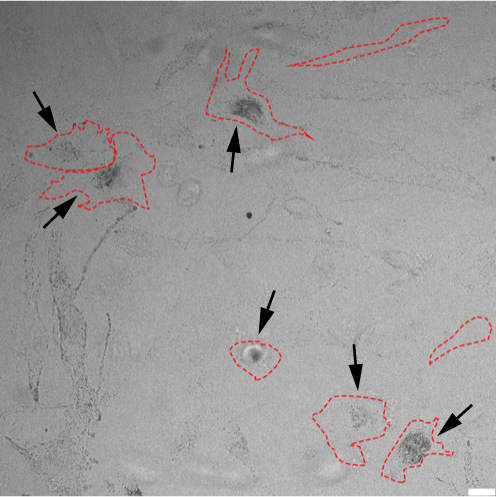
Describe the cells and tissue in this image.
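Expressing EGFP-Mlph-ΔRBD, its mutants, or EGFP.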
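Cultured melanocytes seen unstained in bright field on a pale grey background. Several cells are traced by red dashed lines; they are flat with irregular outlines, some with short tapering dendritic extensions, others small and rounded. Black arrows point at dark, granular pigment gathered as compact clusters in the central, perinuclear part of the outlined cells, leaving the periphery pale. Untraced neighbouring cells appear as faint grey flattened shapes with thin processes crossing the field.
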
